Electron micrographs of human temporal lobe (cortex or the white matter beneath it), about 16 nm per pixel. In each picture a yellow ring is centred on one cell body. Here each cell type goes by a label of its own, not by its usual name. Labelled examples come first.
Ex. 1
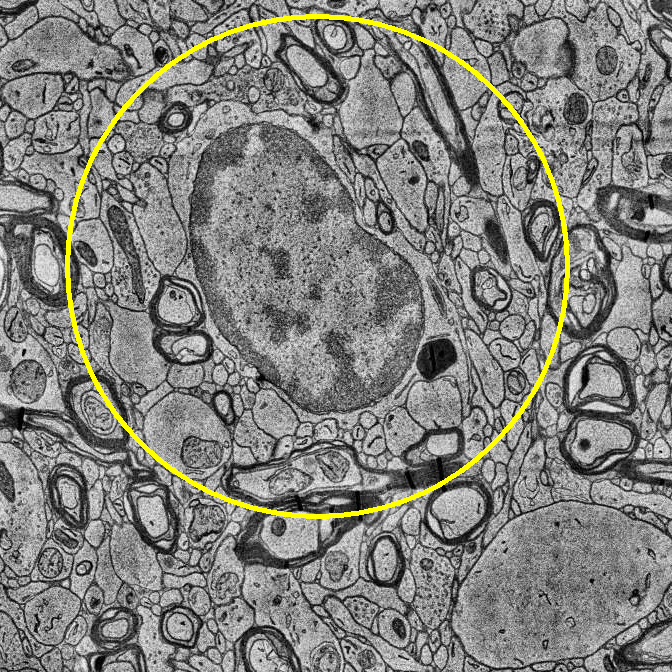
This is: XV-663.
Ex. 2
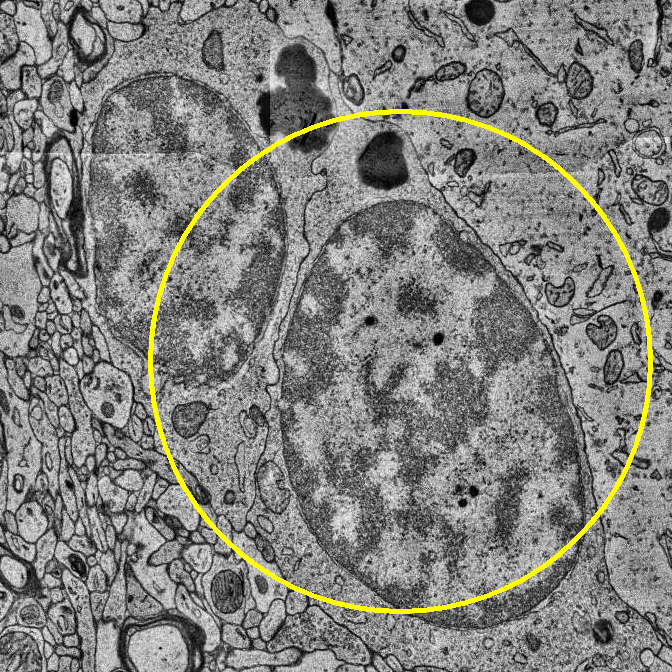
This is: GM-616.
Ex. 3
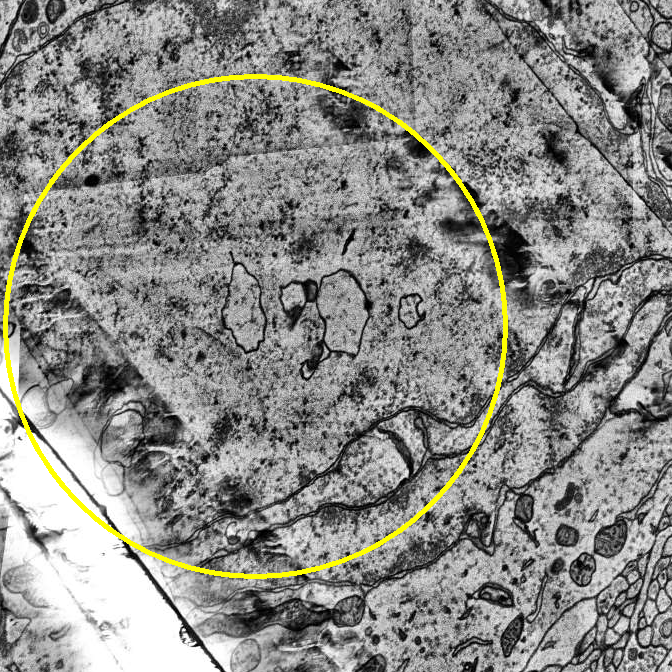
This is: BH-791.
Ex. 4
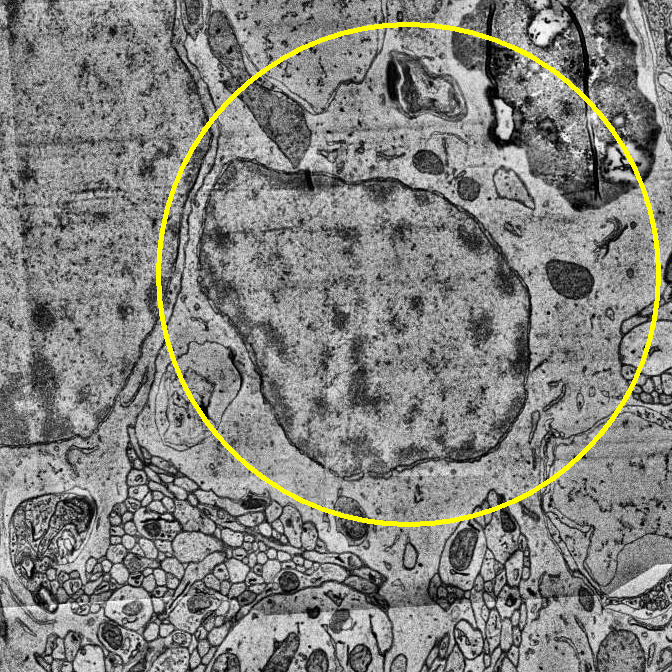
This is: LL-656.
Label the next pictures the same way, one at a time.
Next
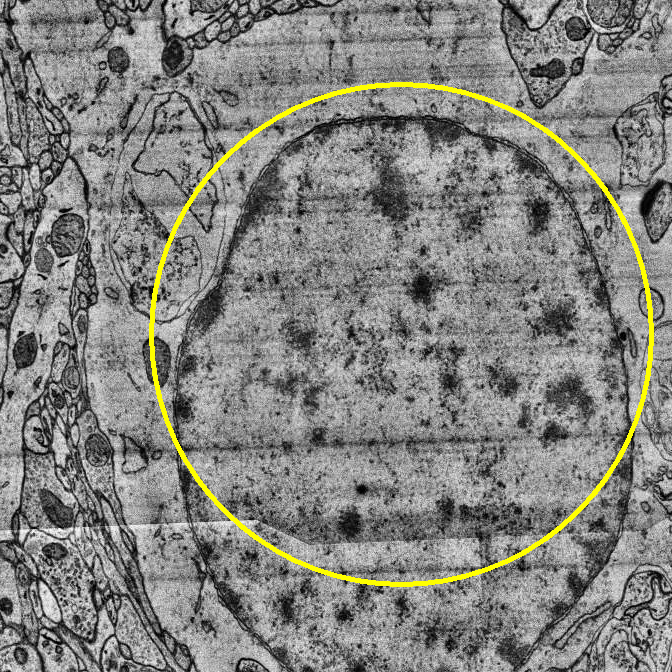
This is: LL-656.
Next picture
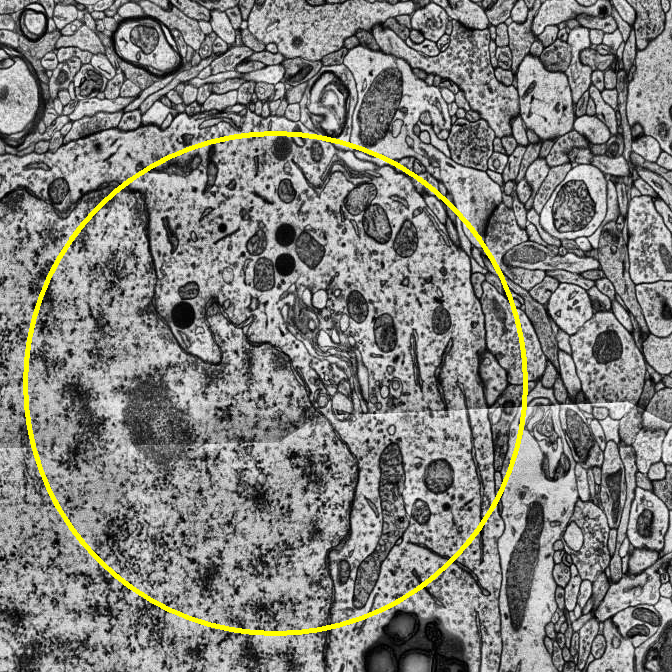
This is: BH-791.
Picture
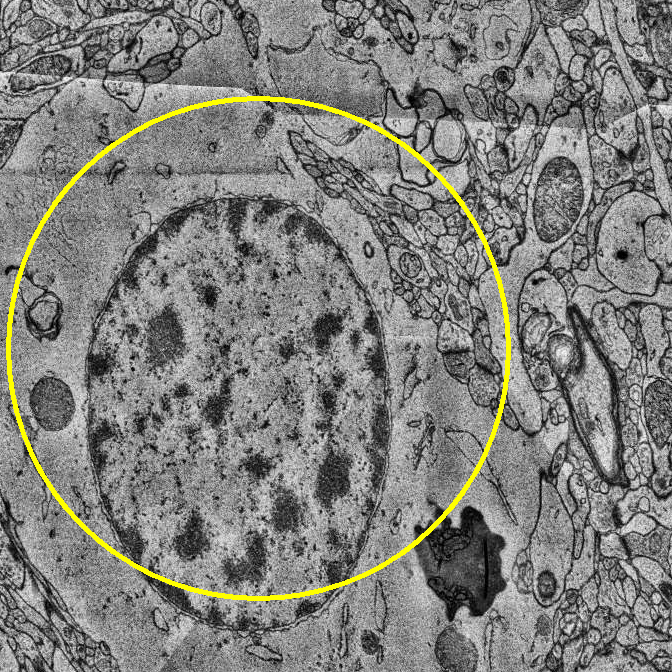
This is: LL-656.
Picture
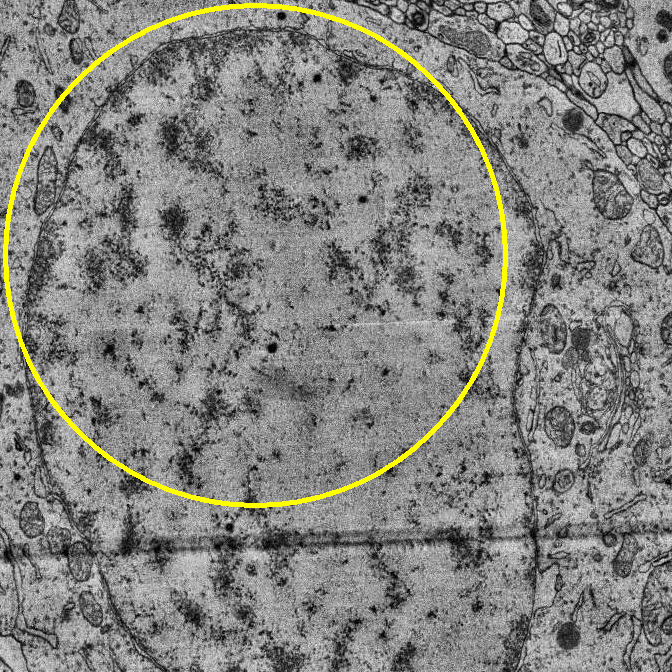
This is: BH-791.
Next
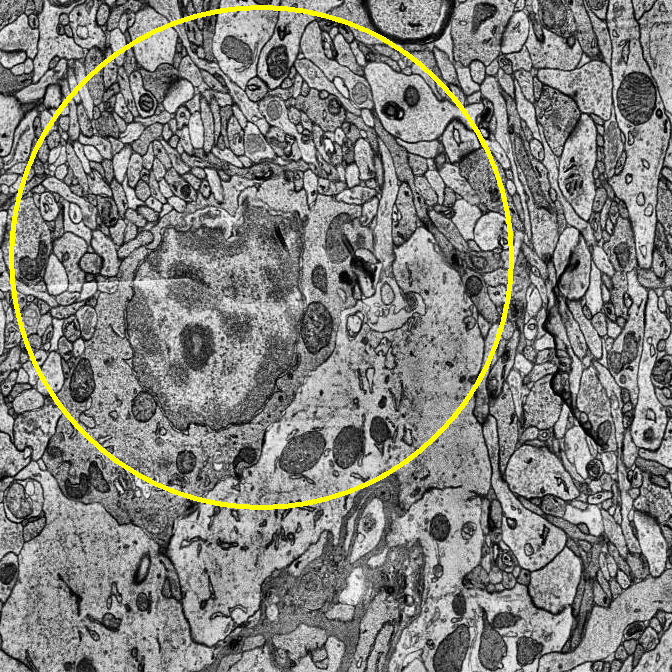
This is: GM-616.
